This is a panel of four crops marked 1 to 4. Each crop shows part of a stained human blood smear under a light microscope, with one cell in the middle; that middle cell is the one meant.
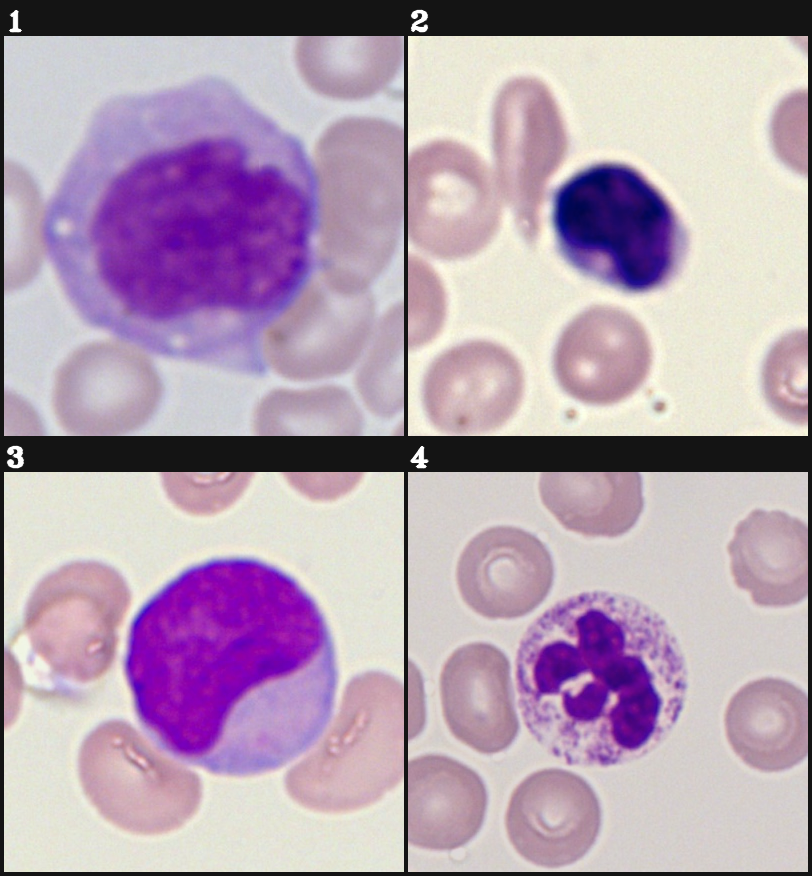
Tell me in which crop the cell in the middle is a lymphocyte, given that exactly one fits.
2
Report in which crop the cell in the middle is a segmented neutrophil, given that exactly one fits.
4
